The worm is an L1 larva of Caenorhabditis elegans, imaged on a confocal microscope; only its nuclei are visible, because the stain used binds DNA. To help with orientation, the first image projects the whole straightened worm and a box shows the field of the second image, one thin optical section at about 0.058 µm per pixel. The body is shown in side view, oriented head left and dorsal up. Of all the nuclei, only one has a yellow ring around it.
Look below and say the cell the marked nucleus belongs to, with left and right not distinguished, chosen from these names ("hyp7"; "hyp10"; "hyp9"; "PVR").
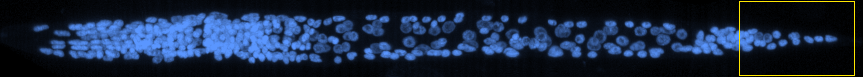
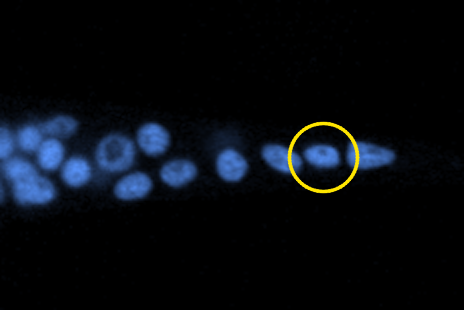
hyp10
